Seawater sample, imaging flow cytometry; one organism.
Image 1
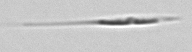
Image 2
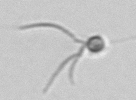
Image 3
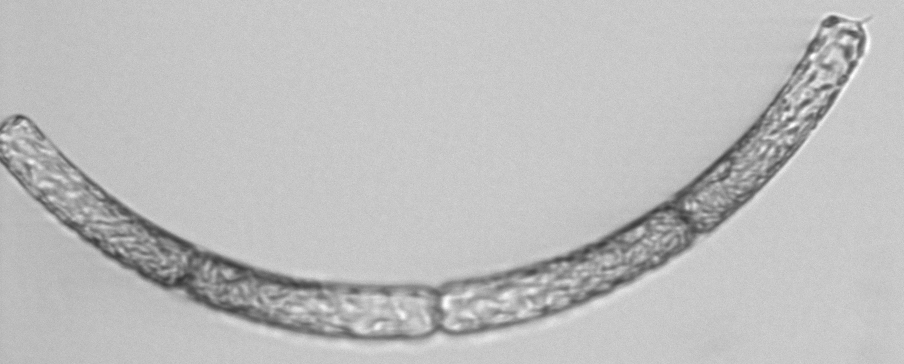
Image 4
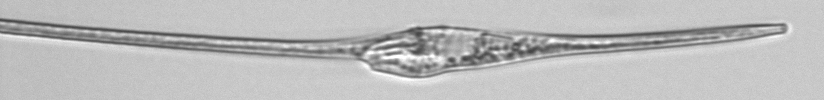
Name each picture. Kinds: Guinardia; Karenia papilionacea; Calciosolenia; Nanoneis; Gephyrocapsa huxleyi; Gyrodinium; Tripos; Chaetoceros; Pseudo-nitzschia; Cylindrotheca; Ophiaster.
1: Cylindrotheca
2: Ophiaster
3: Guinardia
4: Tripos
